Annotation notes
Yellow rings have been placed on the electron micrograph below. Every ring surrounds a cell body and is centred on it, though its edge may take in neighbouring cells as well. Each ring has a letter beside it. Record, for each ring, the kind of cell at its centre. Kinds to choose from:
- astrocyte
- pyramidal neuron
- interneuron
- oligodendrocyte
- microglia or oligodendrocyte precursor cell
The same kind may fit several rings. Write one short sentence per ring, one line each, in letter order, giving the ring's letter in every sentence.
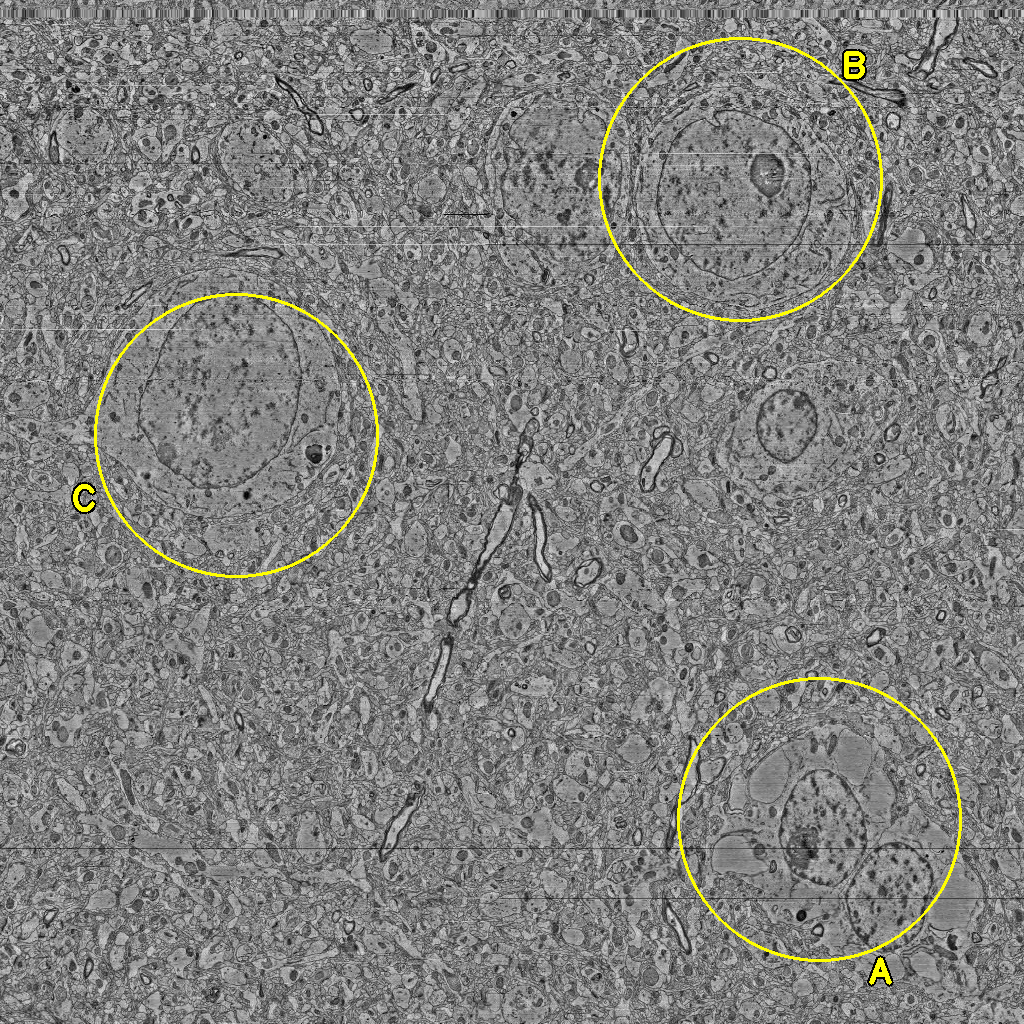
Ring A surrounds an astrocyte.
Ring B surrounds a pyramidal neuron.
Ring C surrounds a pyramidal neuron.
